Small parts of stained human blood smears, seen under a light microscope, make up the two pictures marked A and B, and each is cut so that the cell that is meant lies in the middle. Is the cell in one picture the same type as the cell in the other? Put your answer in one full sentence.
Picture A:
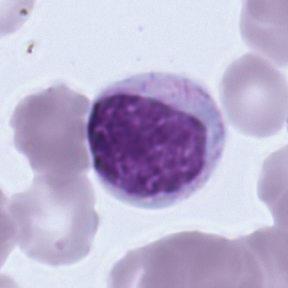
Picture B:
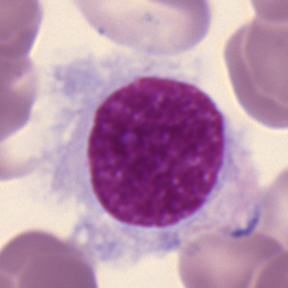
No; the cell in picture A is a metamyelocyte, while the one in picture B is a hairy cell.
